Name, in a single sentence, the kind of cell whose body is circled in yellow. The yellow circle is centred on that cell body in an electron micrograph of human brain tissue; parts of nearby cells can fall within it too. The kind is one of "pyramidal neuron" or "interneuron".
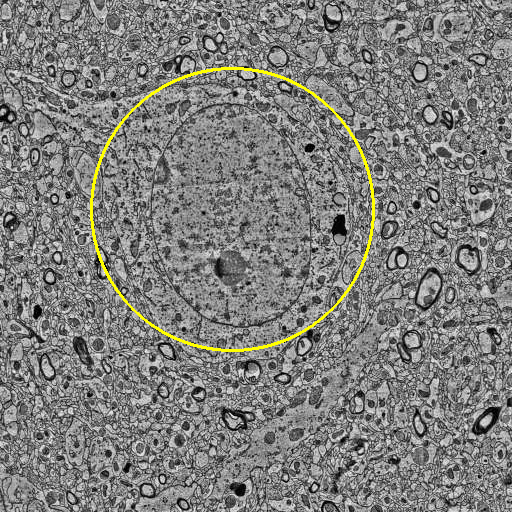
The circled cell body belongs to a pyramidal neuron.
